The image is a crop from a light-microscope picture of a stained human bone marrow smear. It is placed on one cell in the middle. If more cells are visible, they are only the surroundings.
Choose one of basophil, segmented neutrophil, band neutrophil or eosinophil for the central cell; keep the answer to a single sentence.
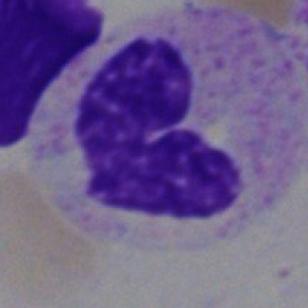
Present in the middle of the crop is a segmented neutrophil.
